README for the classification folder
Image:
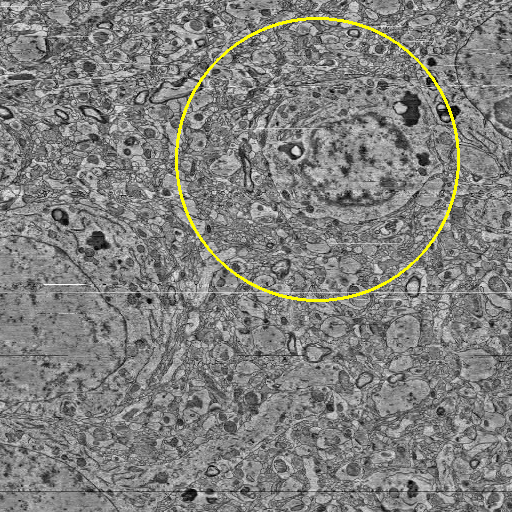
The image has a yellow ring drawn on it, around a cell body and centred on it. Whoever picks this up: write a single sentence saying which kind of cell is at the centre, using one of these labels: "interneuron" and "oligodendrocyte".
This cell body is that of an interneuron.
